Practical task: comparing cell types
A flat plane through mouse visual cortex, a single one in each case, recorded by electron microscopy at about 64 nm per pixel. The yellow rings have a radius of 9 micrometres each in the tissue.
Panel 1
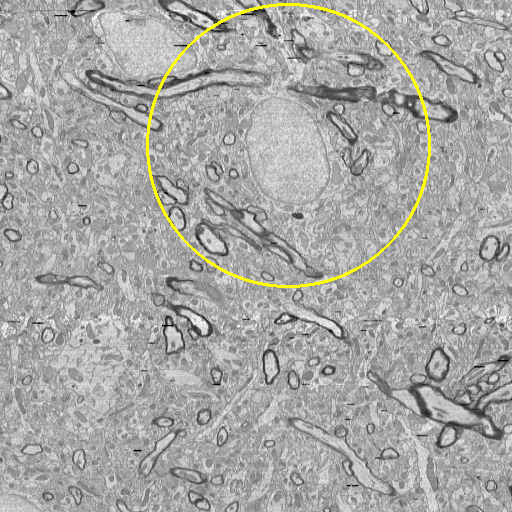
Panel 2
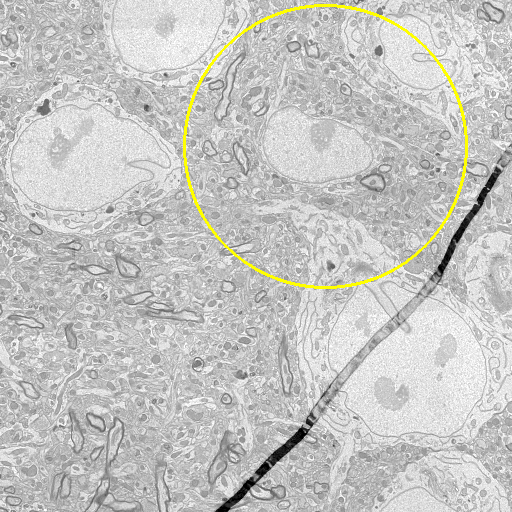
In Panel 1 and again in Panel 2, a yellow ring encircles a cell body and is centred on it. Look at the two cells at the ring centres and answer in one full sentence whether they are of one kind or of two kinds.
The two cells sitting at the ring centres of Panels 1 and 2 are of one kind.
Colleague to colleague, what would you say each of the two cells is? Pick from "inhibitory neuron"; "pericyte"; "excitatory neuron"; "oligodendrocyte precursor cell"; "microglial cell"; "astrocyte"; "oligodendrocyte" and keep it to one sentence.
The first and the second cell are each an astrocyte.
